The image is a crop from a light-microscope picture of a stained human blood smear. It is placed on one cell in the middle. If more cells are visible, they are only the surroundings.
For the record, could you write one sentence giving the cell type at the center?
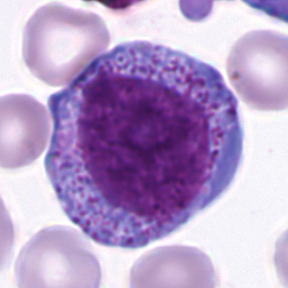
The cell at the centre of the field is a promyelocyte.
